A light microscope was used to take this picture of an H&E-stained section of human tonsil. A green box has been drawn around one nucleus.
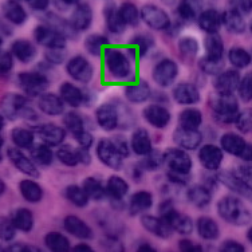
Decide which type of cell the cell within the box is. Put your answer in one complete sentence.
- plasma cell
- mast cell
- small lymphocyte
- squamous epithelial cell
It is as a small lymphocyte that the cell within the box is classified.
